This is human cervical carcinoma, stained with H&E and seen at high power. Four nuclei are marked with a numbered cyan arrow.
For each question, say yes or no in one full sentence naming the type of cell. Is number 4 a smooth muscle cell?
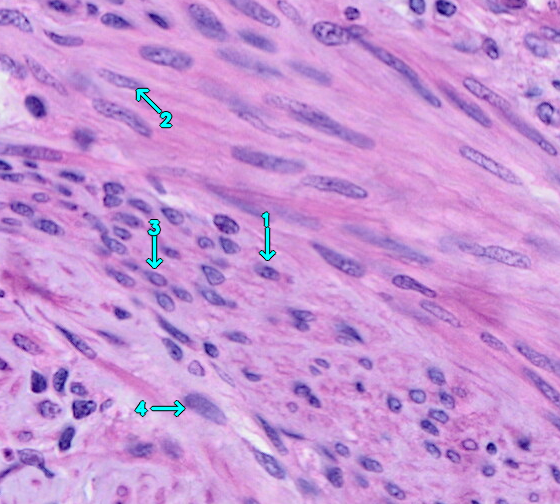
No, cell 4 is classified as a fibroblast rather than a smooth muscle cell.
